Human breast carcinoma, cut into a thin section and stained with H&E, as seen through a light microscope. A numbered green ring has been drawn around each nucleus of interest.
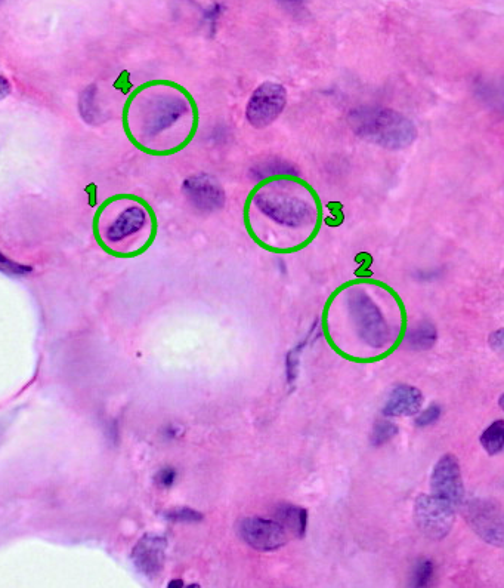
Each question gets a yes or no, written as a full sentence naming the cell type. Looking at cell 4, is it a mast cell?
No, cell 4 represents a fibroblast rather than a mast cell.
